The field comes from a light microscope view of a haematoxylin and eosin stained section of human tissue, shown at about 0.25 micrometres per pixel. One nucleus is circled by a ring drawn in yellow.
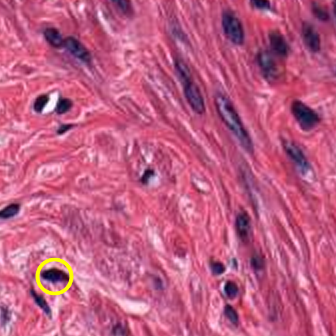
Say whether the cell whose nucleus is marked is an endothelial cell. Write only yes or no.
no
